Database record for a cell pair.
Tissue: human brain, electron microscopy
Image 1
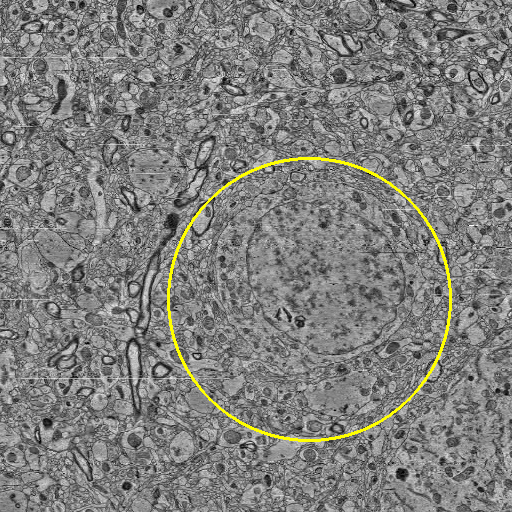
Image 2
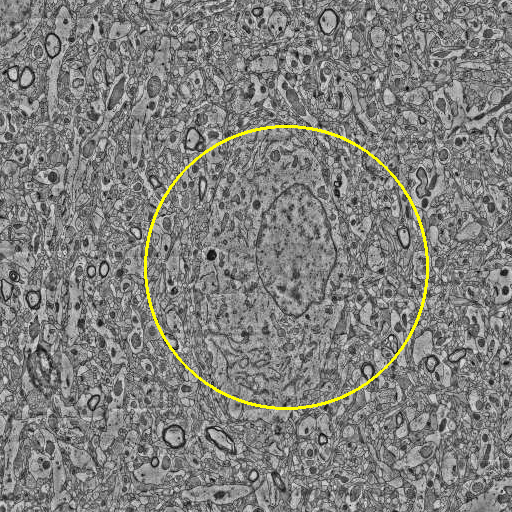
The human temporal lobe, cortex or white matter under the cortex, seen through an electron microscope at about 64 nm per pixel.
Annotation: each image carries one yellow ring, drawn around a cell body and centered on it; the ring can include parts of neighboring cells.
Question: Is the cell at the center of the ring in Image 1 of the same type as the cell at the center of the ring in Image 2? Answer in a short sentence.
Yes, the cells are of the same type.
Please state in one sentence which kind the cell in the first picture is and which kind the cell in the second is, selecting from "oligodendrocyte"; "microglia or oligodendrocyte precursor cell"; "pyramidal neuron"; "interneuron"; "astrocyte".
Each of the two rings is centred on an interneuron.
